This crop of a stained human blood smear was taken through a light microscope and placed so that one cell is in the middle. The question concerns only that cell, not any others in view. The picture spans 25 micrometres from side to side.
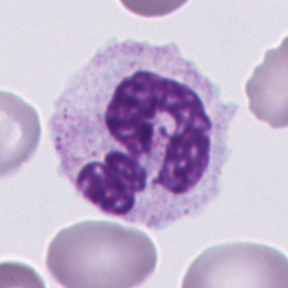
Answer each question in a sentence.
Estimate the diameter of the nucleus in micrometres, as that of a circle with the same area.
The diameter of the nucleus comes to about 10 micrometres.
